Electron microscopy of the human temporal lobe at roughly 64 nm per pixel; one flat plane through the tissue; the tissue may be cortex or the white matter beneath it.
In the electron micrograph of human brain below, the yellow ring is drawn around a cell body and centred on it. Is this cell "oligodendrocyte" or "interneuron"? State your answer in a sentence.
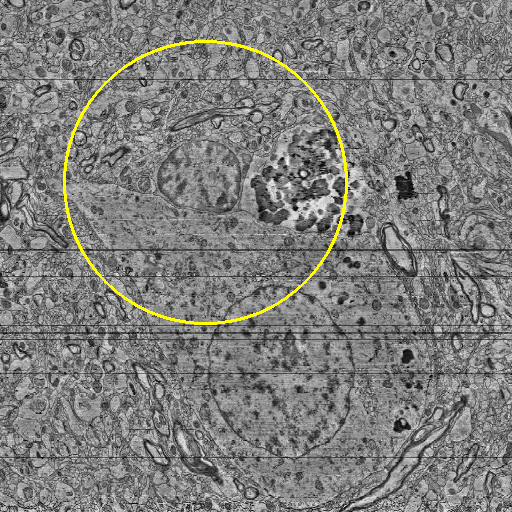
The cell in the middle of the ring is an oligodendrocyte.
